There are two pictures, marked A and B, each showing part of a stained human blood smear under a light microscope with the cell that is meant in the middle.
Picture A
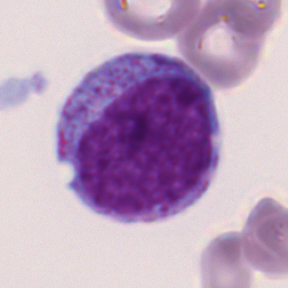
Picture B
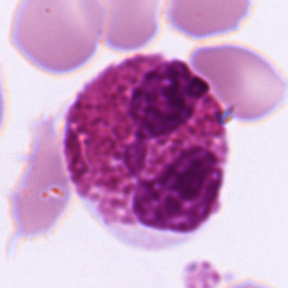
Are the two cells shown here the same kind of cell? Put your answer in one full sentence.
No, picture A shows a promyelocyte and picture B shows an eosinophil.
